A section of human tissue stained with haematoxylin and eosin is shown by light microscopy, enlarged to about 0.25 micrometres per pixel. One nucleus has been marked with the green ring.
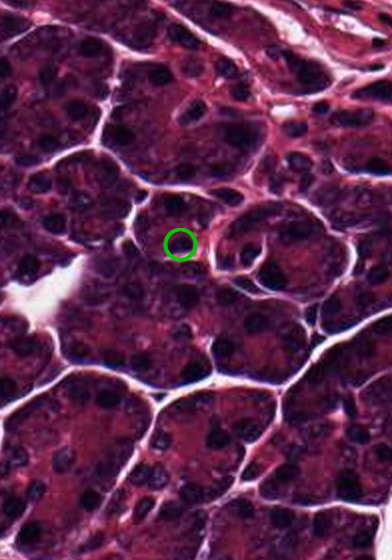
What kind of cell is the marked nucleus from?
pancreatic acinar cell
